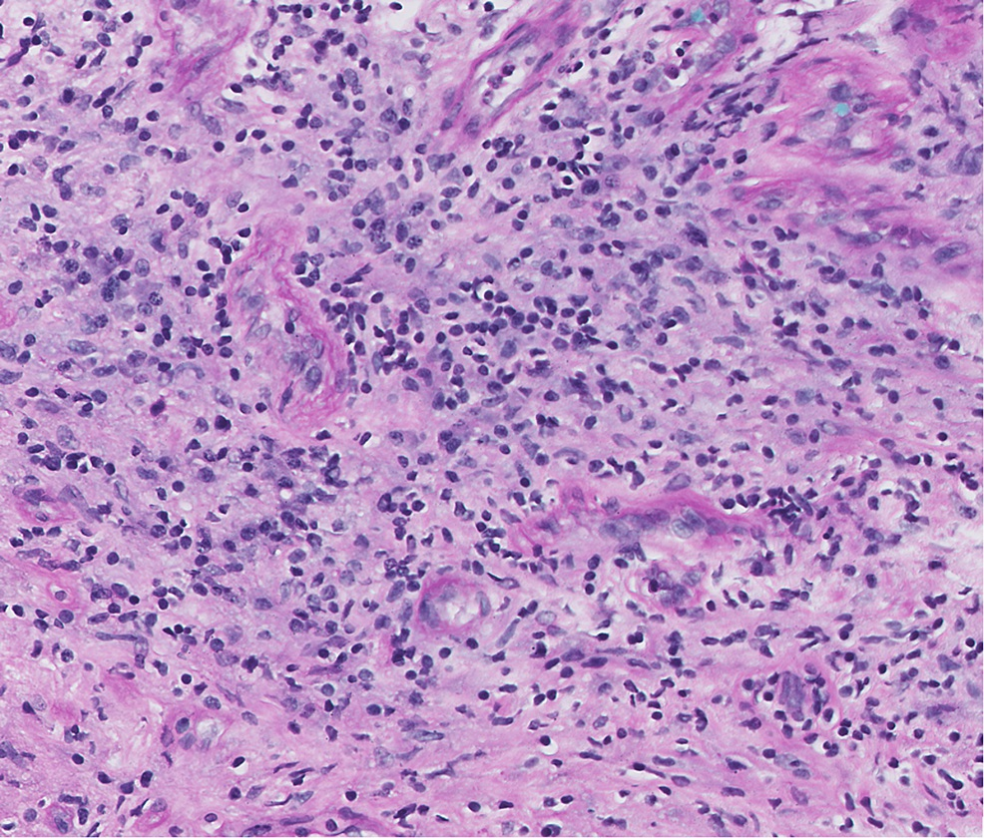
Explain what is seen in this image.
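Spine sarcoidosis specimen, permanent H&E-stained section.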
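A loose pink stroma is densely filled with inflammatory cells. Most of them are small cells with small, round, dark-purple nuclei and scant cytoplasm, which is typical of lymphocytes. Among them lie larger cells with pale, oval, more open nuclei and ill-defined pink cytoplasm, which fits macrophages. Several small vessels with pink walls run through the infiltrate. Together this mixed cellular infiltrate with its scattered vessels is the picture of a granulation reaction made up mostly of lymphocytes and macrophages.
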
